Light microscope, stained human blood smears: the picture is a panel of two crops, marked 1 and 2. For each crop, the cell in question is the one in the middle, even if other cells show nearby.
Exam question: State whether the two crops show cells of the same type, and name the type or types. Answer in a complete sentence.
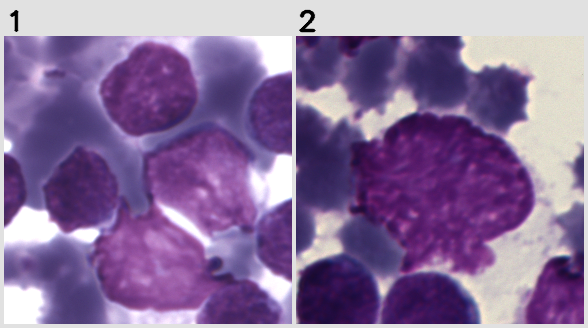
No, crop 1 represents a myeloblast, and crop 2 represents a smudge cell.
